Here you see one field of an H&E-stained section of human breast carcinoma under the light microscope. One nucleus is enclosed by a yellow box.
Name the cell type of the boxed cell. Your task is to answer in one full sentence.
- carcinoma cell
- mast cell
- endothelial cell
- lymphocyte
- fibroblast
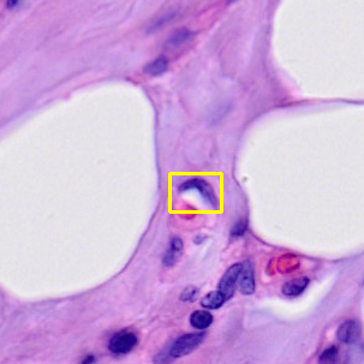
To be brief about it, the boxed cell is an endothelial cell.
